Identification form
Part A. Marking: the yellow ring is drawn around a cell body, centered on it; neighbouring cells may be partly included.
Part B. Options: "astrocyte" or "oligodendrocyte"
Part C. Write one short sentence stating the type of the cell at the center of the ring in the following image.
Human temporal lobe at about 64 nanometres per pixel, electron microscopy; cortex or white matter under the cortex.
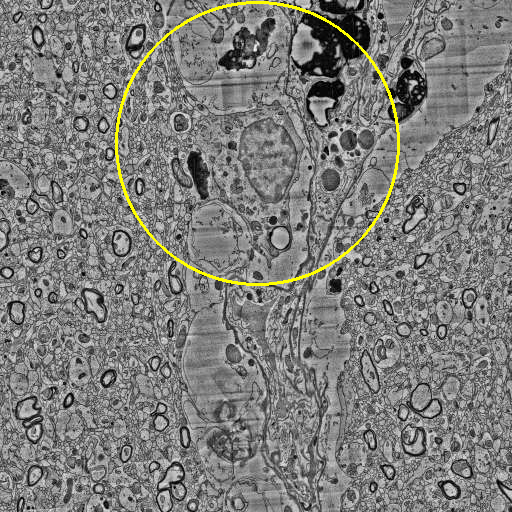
The center of the ring holds an oligodendrocyte.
